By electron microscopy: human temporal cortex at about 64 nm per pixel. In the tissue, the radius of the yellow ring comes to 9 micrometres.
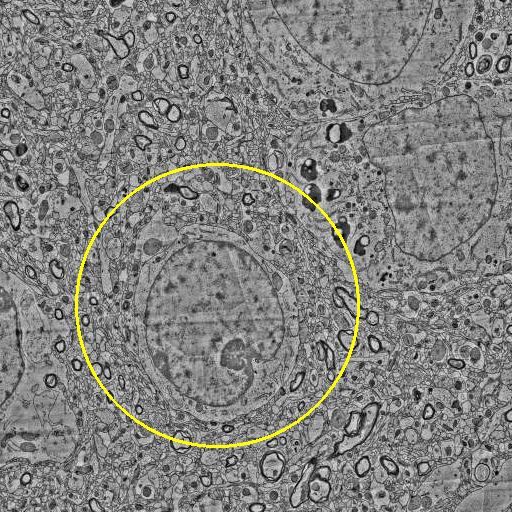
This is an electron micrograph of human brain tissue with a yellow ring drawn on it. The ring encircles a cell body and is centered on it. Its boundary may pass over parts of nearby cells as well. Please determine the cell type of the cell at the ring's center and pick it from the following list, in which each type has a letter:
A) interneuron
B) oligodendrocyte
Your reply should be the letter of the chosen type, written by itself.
A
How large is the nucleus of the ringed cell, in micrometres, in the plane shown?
The ringed cell's nucleus measures approximately 11 by 9 micrometres in this plane.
